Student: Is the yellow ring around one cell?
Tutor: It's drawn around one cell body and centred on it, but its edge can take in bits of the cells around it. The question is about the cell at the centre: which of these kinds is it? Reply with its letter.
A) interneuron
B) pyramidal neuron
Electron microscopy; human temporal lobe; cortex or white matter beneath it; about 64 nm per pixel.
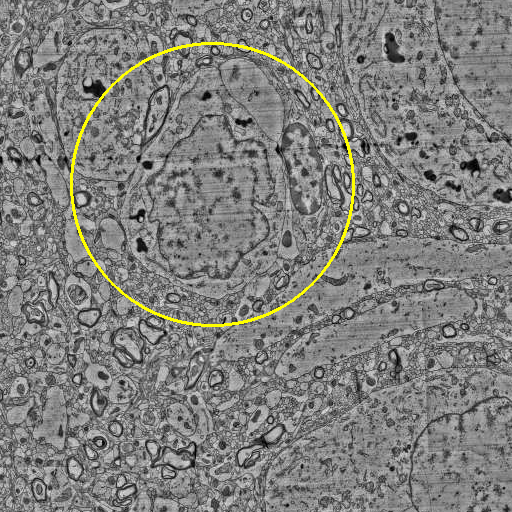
A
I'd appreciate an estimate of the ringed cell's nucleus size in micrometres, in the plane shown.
In this plane, roughly 11 by 9 micrometres.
